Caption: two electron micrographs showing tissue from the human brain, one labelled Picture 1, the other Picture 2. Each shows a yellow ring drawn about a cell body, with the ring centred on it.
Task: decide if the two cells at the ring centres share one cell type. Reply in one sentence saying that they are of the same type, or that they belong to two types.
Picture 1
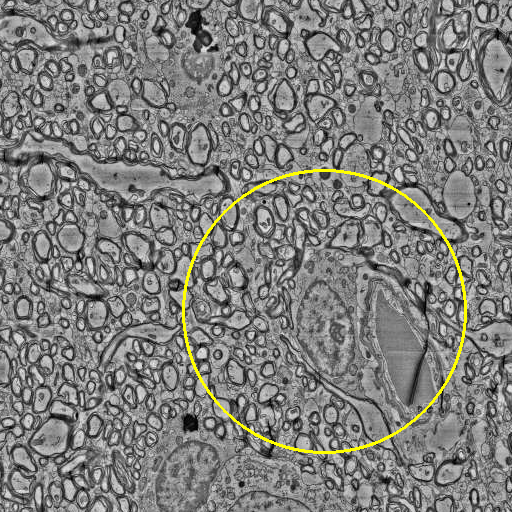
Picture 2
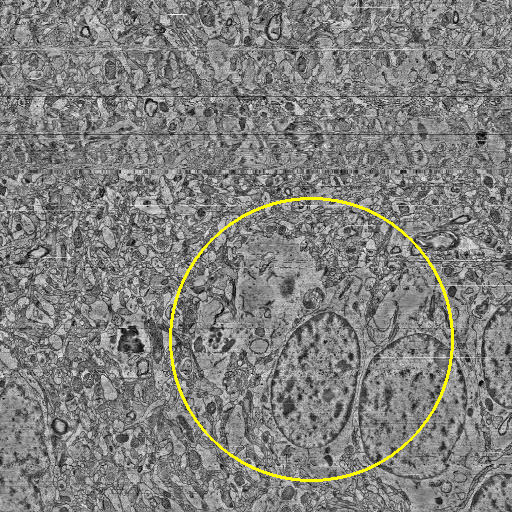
The cells at the ring centres in Picture 1 and Picture 2 belong to two types.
